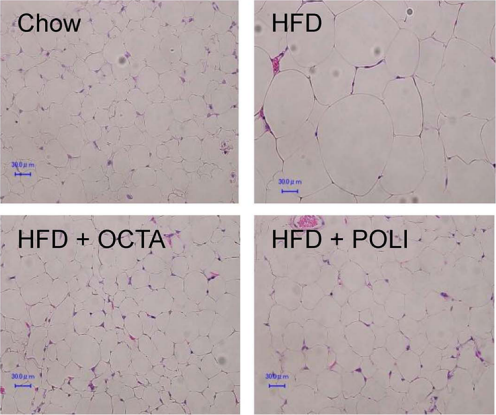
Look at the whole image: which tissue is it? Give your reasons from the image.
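The tissue is made almost entirely of single large clear vacuole-like cells. Only a thin rim of pink cytoplasm surrounds each clear space. Small nuclei are pressed to the cell borders.
White adipose tissue.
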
